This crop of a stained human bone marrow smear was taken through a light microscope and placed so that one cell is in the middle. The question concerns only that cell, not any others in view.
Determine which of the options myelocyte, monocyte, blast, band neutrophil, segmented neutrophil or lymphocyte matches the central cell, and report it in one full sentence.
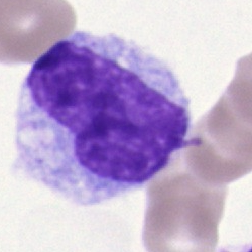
In this crop, the cell at the very middle is a monocyte.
